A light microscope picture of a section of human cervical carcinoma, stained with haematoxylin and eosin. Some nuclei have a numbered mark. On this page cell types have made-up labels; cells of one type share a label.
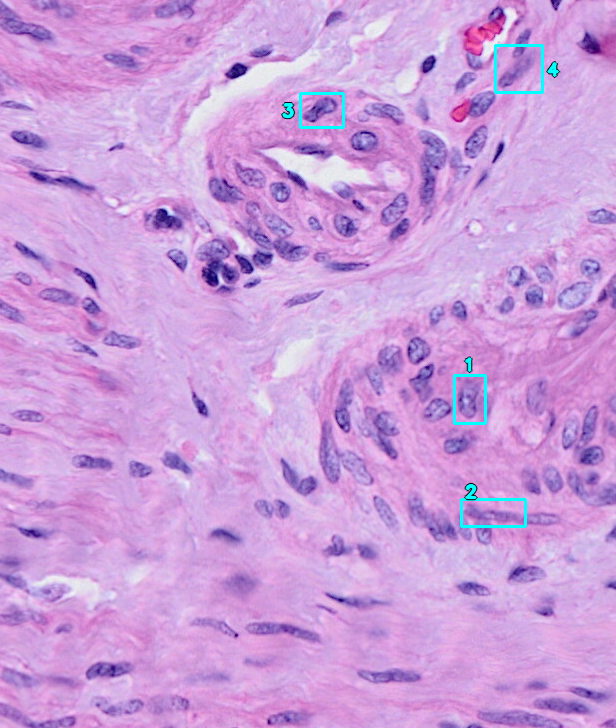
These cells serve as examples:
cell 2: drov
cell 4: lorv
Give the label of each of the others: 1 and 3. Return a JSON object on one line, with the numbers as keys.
{"1": "drov", "3": "drov"}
